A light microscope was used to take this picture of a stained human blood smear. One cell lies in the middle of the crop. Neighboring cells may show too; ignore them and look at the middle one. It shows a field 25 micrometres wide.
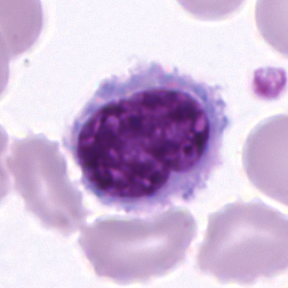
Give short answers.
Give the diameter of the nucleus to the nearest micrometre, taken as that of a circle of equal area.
10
